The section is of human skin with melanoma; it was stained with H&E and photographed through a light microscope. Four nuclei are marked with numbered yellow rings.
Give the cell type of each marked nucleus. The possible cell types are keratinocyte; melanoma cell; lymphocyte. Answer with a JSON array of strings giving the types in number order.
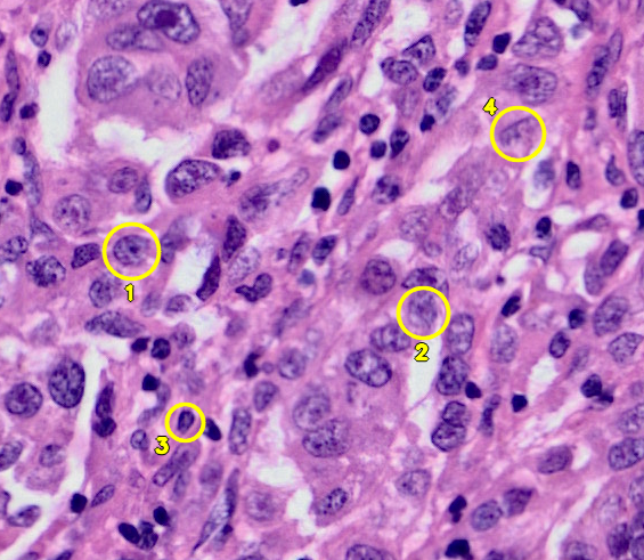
["melanoma cell", "melanoma cell", "lymphocyte", "melanoma cell"]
